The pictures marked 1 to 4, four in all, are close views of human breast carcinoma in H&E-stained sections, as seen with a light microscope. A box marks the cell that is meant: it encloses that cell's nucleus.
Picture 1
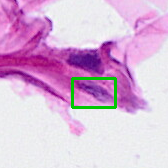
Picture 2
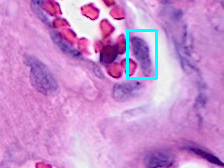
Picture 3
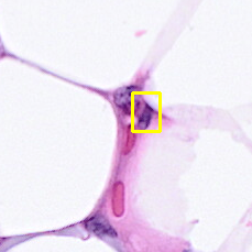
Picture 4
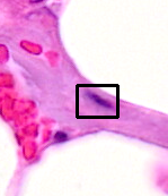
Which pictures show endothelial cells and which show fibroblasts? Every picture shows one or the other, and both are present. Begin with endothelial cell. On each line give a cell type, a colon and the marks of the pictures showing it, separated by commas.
endothelial cell: 1, 2, 3
fibroblast: 4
